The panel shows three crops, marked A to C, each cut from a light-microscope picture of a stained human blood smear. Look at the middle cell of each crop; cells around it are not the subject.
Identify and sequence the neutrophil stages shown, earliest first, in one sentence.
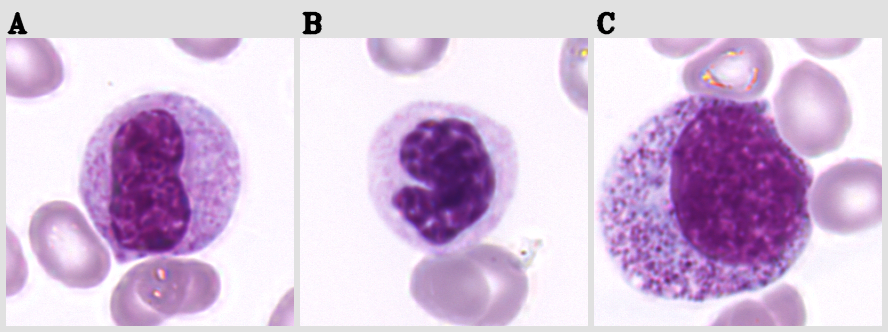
Listed in order of increasing maturity, the crops are crop C (a promyelocyte), crop A (a metamyelocyte) and crop B (a band neutrophil).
